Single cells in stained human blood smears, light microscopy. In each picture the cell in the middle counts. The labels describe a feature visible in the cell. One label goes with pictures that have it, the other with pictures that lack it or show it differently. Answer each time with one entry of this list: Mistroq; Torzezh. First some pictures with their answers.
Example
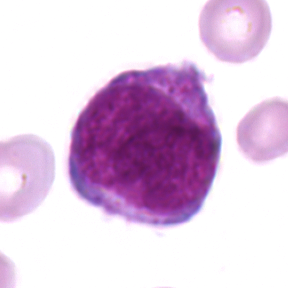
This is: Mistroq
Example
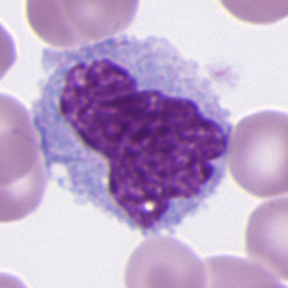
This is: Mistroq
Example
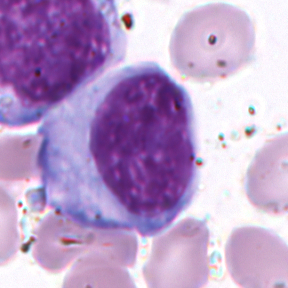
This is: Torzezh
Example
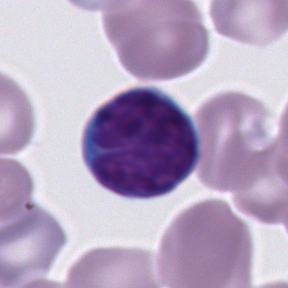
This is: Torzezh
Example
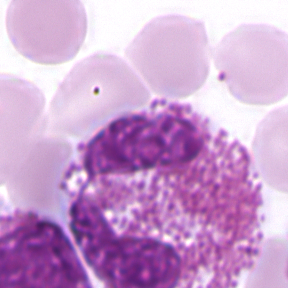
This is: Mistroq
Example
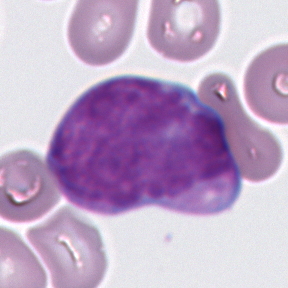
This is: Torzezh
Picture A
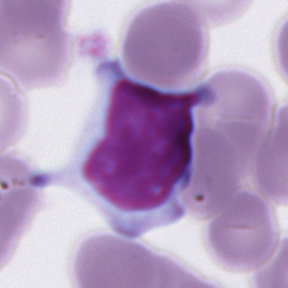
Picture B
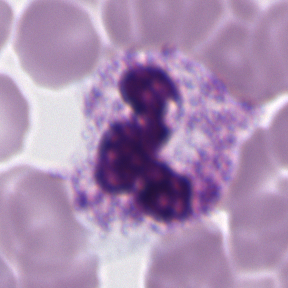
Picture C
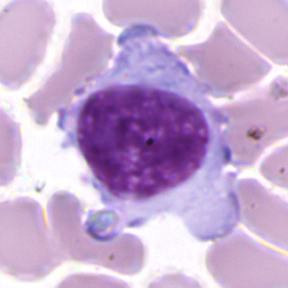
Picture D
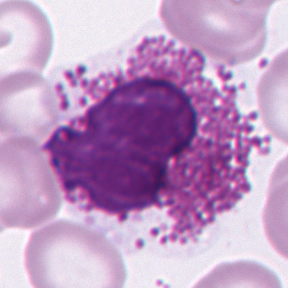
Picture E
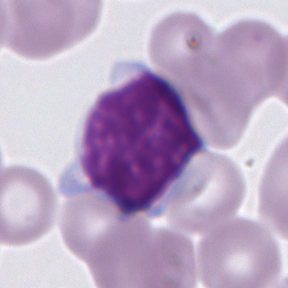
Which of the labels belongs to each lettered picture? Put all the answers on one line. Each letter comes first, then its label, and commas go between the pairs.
A Mistroq, B Mistroq, C Mistroq, D Mistroq, E Mistroq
